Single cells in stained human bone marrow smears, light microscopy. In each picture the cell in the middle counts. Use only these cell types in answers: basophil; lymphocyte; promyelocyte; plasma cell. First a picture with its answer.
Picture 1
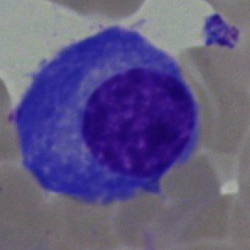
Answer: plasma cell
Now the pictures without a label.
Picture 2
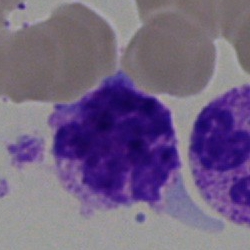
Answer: basophil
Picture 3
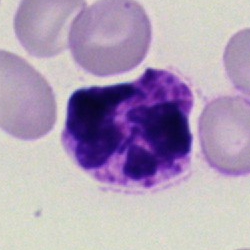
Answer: basophil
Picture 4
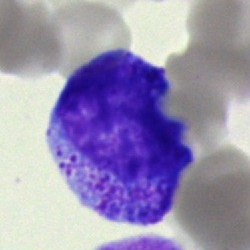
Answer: promyelocyte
